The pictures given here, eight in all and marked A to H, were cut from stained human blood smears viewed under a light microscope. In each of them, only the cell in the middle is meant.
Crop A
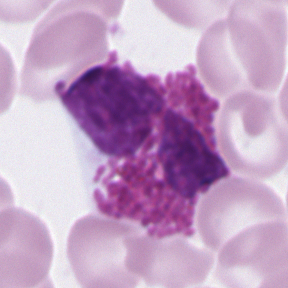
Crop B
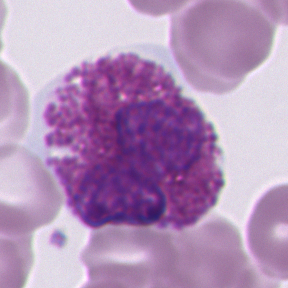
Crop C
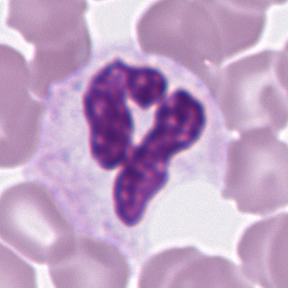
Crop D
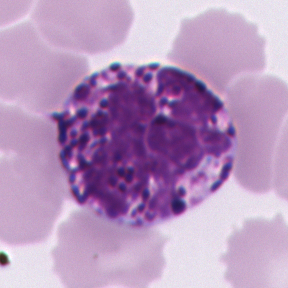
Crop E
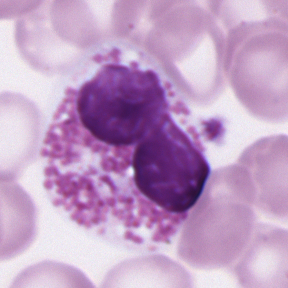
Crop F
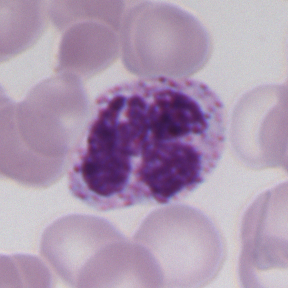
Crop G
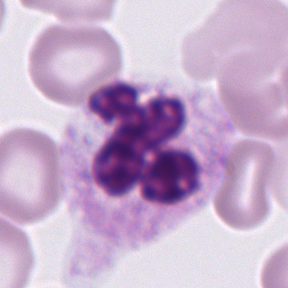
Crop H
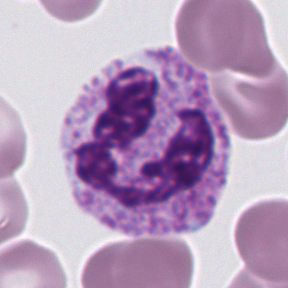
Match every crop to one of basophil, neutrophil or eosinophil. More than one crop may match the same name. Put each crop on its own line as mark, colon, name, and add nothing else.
A: eosinophil
B: eosinophil
C: neutrophil
D: basophil
E: eosinophil
F: basophil
G: neutrophil
H: neutrophil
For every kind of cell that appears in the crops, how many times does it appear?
eosinophil: 3
neutrophil: 3
basophil: 2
